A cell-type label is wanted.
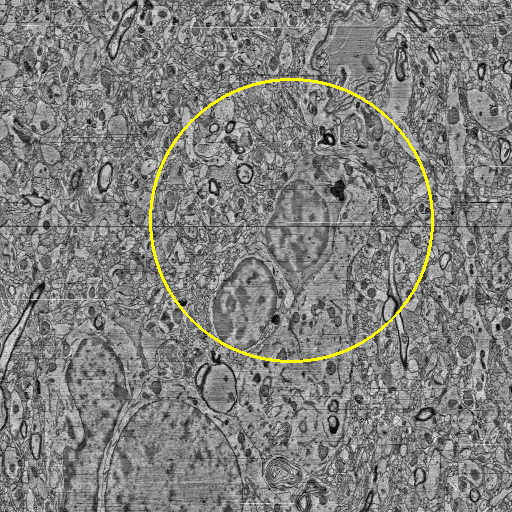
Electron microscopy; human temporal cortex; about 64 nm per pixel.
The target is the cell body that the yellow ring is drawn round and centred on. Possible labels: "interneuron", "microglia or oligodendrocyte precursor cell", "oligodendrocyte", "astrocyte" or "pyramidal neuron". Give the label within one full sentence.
Of the labels offered, the cell in the middle of the yellow ring is an oligodendrocyte.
